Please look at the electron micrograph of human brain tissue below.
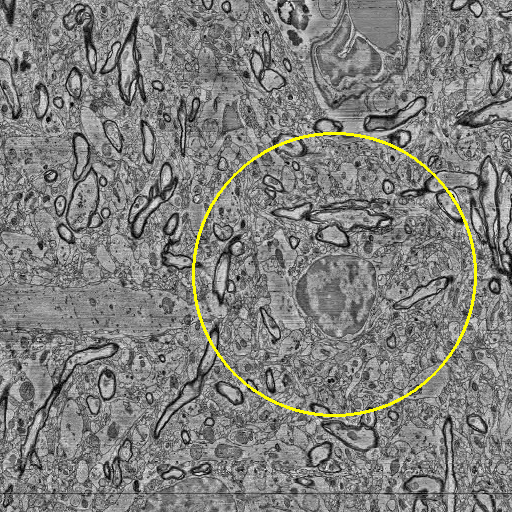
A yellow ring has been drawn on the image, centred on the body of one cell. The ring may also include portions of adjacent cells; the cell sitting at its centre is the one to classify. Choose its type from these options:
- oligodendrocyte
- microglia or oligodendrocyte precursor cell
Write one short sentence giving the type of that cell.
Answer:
The cell in the middle of the ring is a microglial cell or oligodendrocyte precursor cell.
